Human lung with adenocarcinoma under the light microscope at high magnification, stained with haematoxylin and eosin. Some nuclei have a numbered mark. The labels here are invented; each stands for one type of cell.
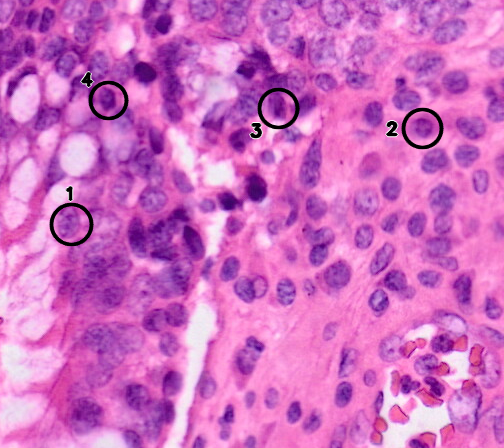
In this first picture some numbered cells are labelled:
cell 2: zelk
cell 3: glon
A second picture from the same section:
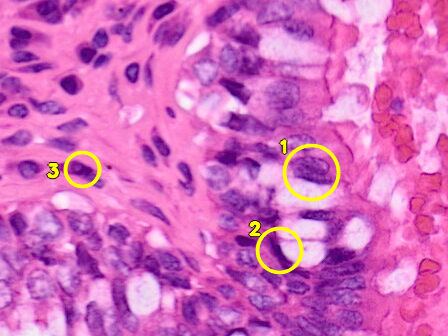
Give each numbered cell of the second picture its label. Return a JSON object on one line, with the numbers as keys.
{"1": "glon", "2": "glon", "3": "zelk"}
